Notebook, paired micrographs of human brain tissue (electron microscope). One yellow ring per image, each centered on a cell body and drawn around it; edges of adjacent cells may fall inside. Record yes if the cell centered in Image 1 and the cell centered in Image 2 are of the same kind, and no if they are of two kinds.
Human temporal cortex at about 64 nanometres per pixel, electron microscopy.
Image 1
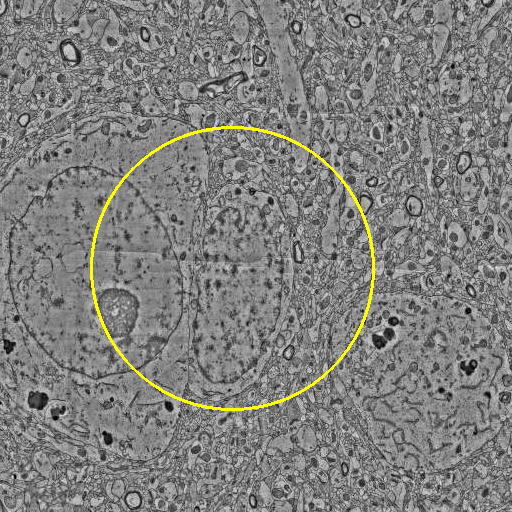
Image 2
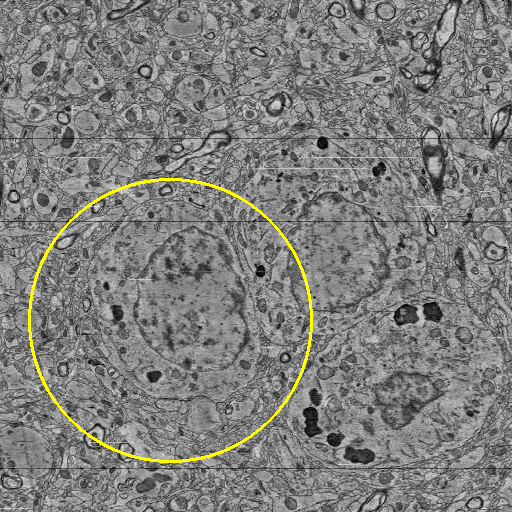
yes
